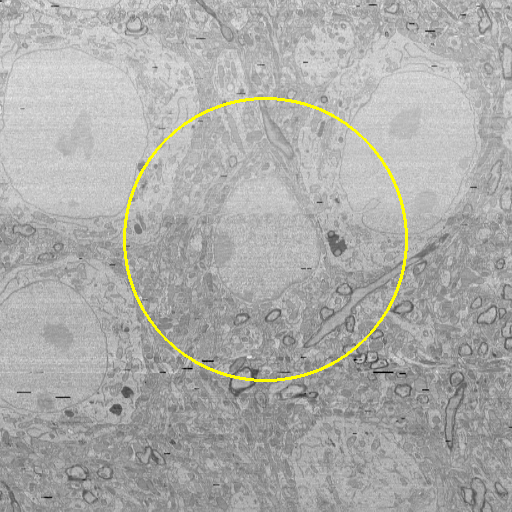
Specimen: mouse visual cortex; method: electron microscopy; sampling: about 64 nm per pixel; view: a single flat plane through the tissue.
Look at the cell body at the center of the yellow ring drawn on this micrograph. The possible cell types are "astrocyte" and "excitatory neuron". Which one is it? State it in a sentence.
The cell in the middle of the ring is an astrocyte.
